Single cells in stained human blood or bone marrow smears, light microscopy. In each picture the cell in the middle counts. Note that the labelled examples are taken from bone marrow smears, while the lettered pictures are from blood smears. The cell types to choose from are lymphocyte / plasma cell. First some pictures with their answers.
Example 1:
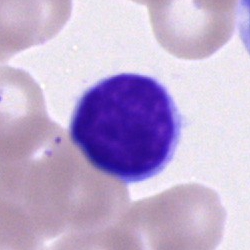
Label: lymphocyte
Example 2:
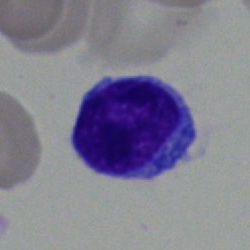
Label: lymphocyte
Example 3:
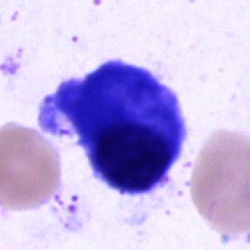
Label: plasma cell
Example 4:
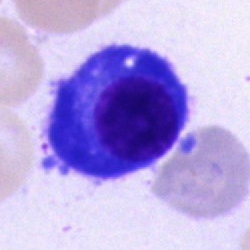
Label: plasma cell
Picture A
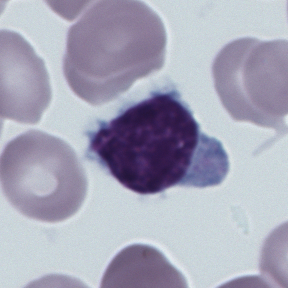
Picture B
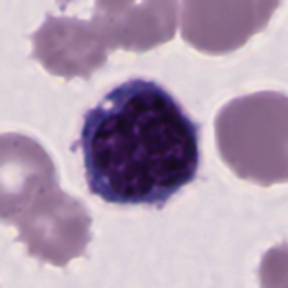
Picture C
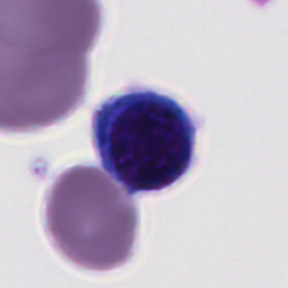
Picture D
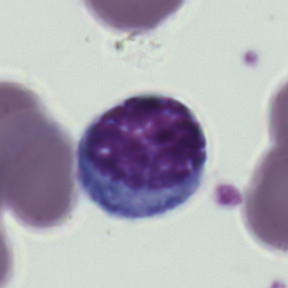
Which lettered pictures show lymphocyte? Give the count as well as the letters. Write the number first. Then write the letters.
Count: 1 (A)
